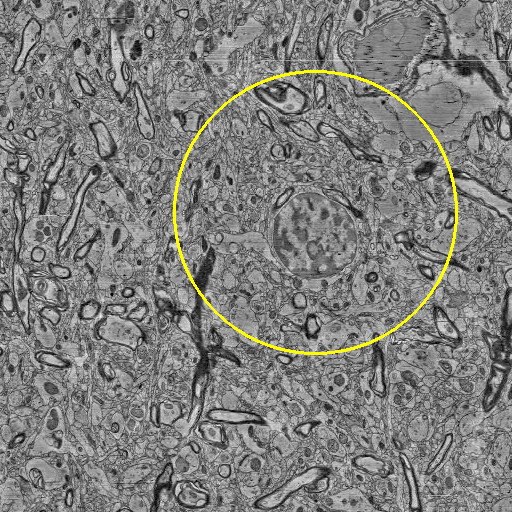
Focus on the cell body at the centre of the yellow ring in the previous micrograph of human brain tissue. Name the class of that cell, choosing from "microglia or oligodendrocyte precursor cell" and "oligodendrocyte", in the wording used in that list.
microglia or oligodendrocyte precursor cell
